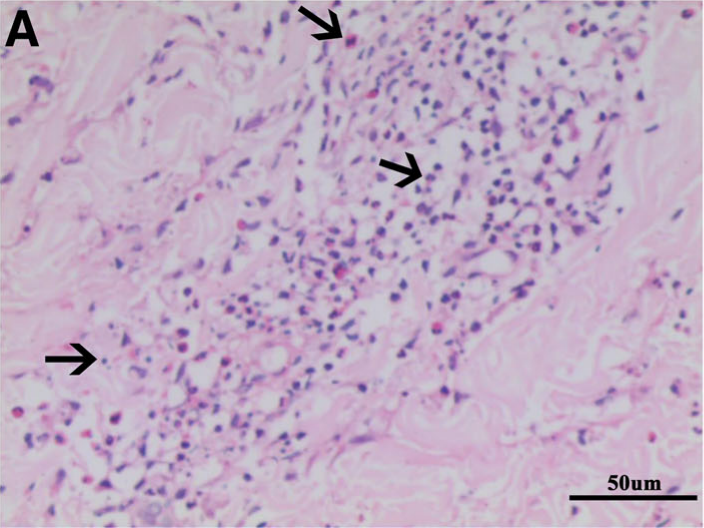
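This is dermis in which a dense inflammatory infiltrate runs diagonally between pale pink collagen bundles. Most of the cells are small with dark purple round or lobed nuclei, and among them are scattered cells with bright red-pink granular cytoplasm, the eosinophils. The collagen around the infiltrate is loosened, with clear spaces between the cells.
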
